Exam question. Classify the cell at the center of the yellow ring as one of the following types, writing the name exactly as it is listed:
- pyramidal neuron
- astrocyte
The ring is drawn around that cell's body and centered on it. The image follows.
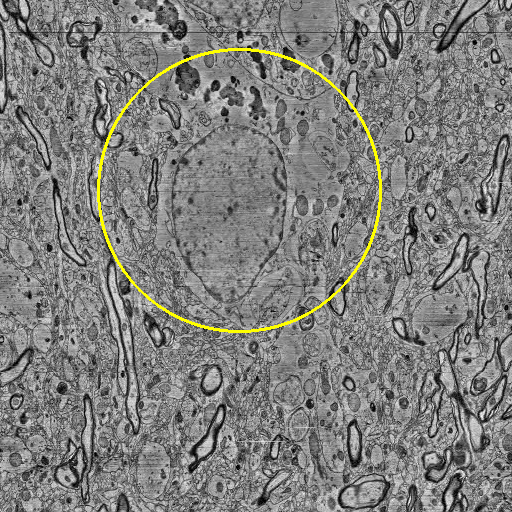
astrocyte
